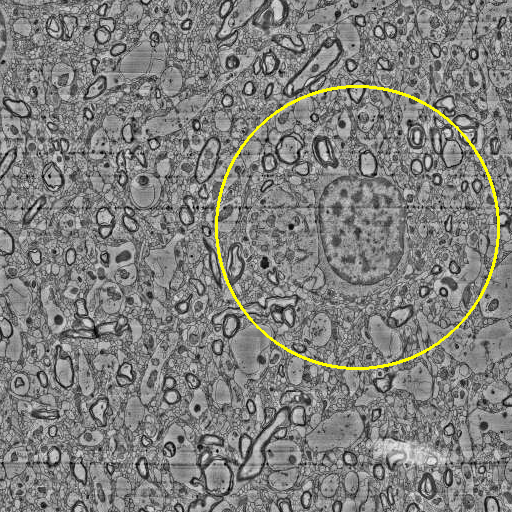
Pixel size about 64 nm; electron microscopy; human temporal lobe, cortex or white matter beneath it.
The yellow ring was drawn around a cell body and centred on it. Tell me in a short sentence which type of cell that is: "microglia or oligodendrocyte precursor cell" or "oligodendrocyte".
The cell at the ring's centre is an oligodendrocyte.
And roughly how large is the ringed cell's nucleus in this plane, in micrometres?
About 7 by 6 micrometers, in this plane.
